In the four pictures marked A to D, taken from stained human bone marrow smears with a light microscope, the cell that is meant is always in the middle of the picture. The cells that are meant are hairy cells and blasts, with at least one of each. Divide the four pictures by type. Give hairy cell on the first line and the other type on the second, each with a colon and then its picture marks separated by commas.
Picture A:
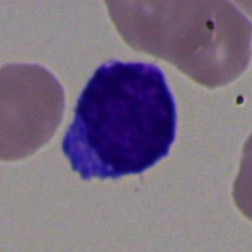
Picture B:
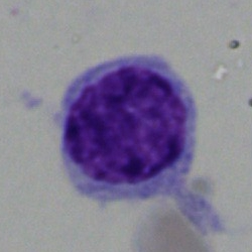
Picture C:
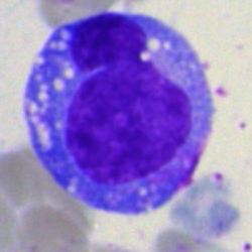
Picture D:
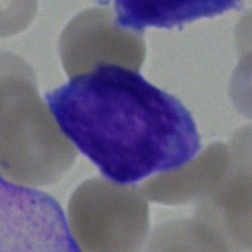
hairy cell: B
blast: A, C, D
